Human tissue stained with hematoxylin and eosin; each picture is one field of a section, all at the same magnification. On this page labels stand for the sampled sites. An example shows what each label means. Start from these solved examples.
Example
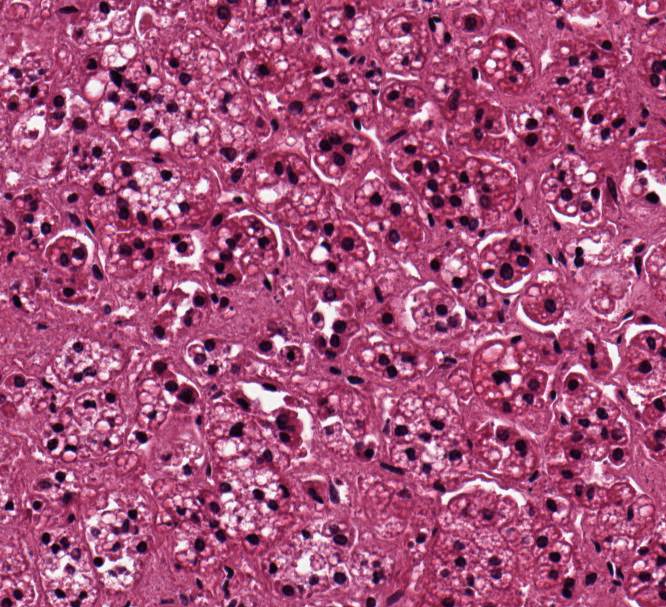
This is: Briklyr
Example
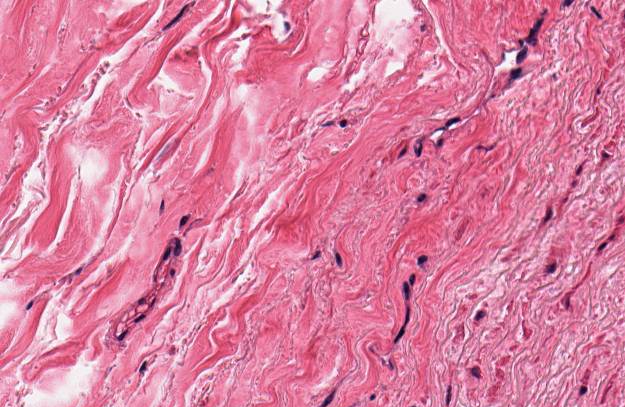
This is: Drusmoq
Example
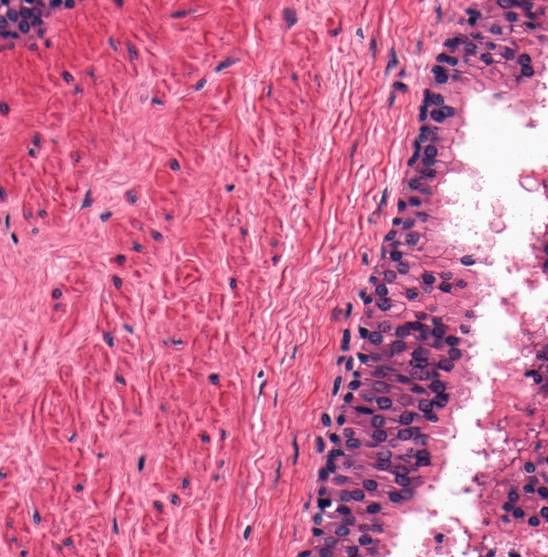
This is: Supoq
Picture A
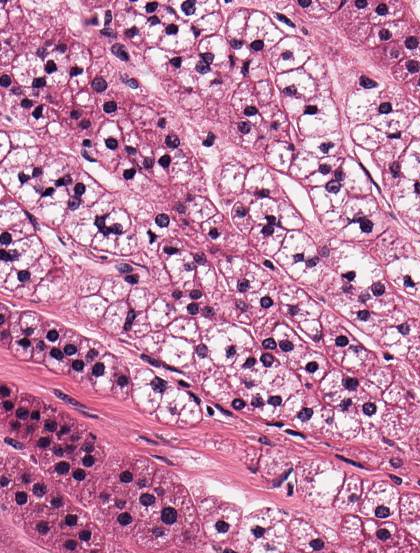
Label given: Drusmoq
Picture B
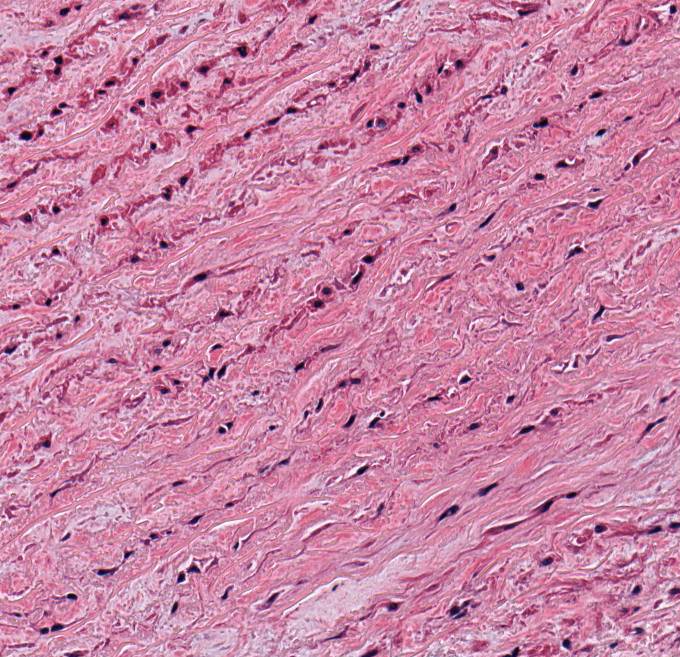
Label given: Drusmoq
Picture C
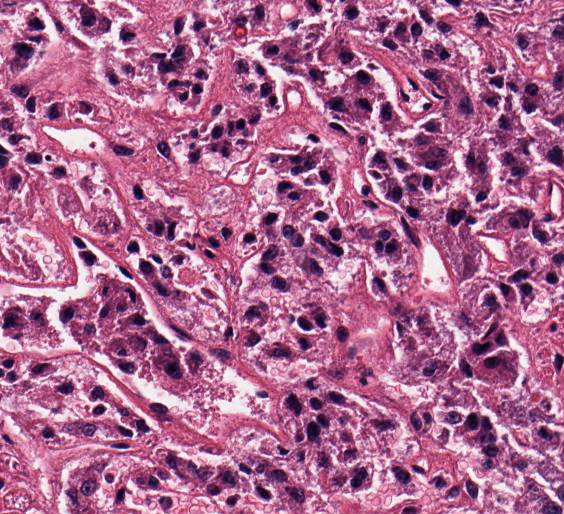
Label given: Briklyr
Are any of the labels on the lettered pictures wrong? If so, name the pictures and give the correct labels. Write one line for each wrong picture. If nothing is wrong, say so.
A should be Briklyr, not Drusmoq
